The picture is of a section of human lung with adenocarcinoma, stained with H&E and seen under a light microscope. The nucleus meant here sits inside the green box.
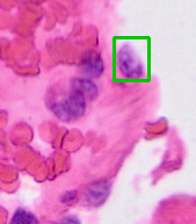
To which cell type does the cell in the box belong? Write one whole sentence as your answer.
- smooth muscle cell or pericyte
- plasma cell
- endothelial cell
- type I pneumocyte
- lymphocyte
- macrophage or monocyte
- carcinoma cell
As far as its identity is concerned, the cell in the box is a type I pneumocyte.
